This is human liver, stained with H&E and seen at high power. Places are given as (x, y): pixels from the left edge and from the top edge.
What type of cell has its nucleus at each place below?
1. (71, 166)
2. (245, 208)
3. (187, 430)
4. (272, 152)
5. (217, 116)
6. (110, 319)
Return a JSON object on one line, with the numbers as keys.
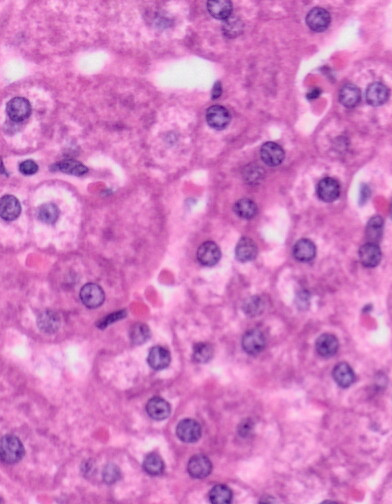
{"1": "Kupffer cell", "2": "hepatocyte", "3": "hepatocyte", "4": "hepatocyte", "5": "hepatocyte", "6": "fibroblast or stellate cell"}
